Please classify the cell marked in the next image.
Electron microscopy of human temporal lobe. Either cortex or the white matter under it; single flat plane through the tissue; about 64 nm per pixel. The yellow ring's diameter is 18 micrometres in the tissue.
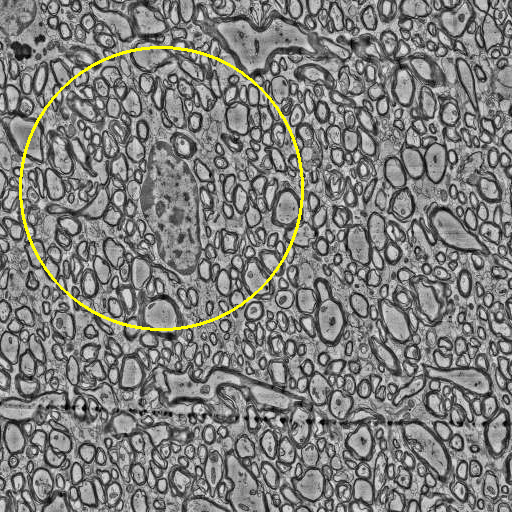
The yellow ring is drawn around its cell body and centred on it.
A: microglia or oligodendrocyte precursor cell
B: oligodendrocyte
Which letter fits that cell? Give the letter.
A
